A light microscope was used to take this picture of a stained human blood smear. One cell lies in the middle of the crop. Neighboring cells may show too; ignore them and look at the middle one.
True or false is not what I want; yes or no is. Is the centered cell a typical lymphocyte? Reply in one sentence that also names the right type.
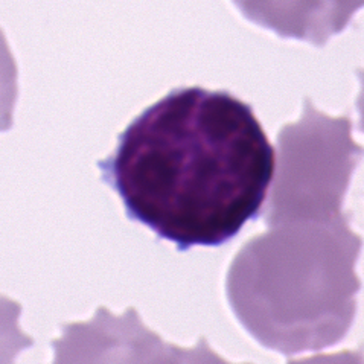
Yes, the cell found at the centre of the crop is a typical lymphocyte.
